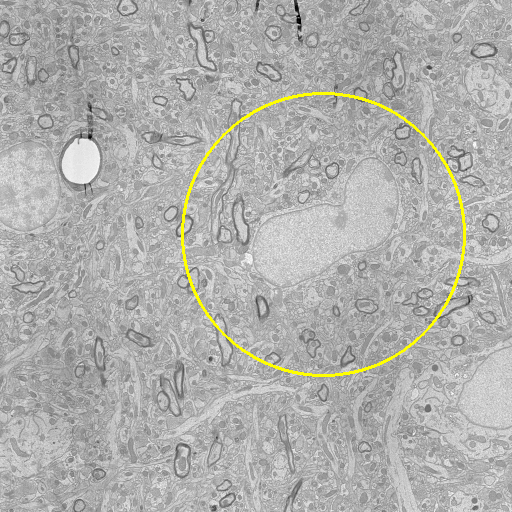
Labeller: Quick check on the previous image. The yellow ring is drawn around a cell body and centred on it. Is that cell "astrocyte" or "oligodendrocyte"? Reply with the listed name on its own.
astrocyte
